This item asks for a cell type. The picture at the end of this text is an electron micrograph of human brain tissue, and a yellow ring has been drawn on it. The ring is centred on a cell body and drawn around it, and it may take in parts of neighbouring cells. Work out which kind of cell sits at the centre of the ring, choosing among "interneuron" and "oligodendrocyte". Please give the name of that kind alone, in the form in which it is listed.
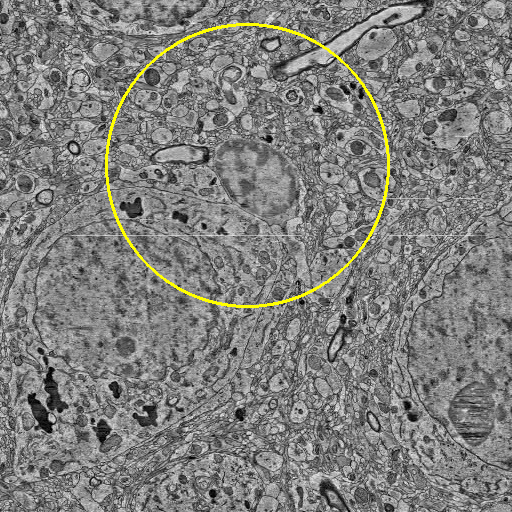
oligodendrocyte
